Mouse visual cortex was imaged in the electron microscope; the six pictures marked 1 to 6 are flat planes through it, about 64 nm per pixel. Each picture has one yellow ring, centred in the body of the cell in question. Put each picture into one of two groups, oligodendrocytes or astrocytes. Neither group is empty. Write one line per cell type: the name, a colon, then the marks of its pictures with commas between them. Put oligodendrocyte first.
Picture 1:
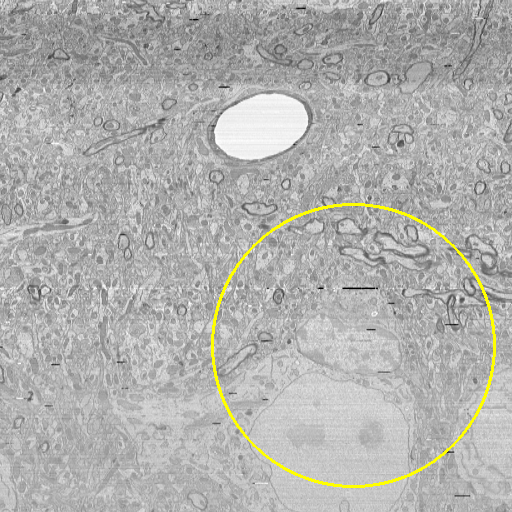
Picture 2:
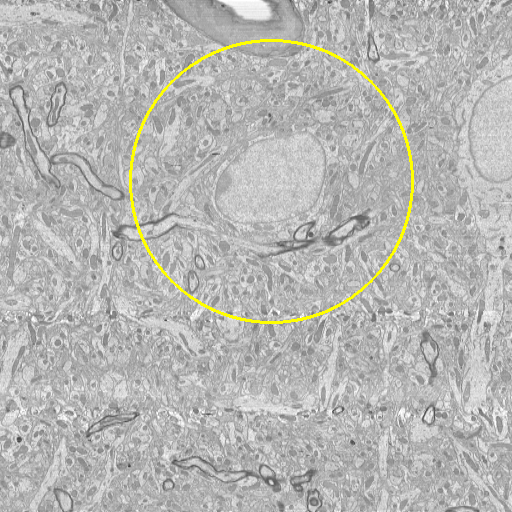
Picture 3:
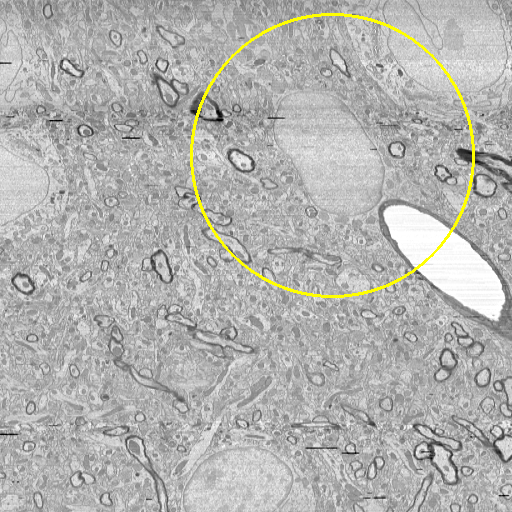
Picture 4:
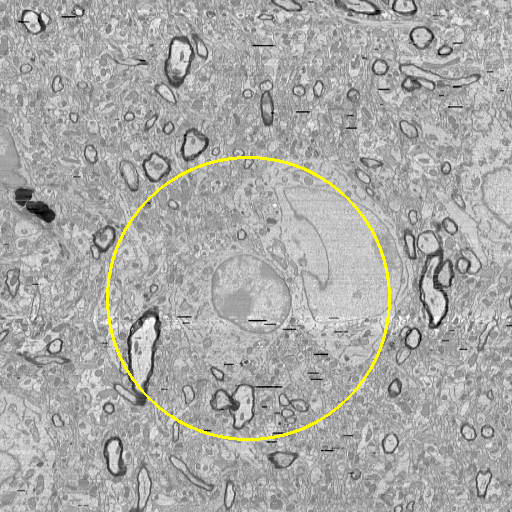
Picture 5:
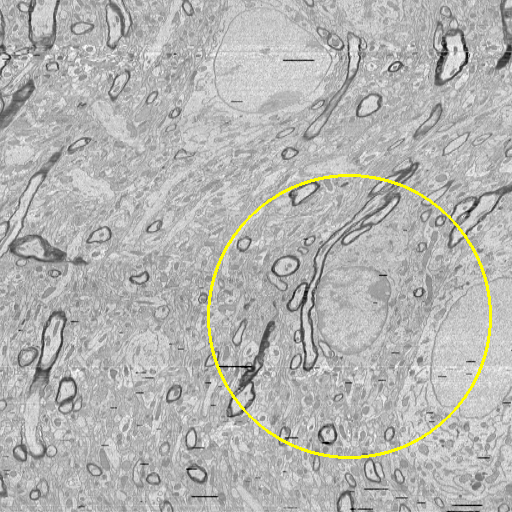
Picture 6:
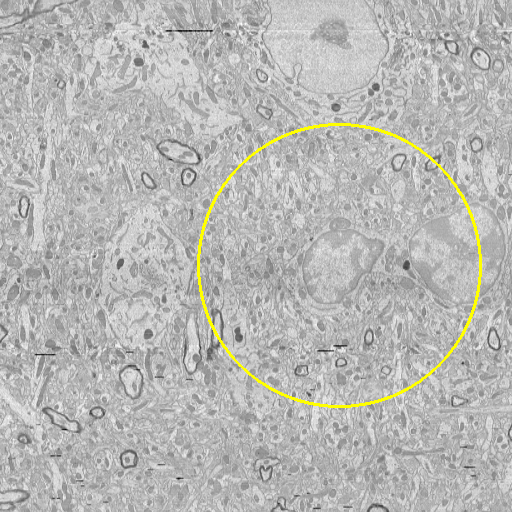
oligodendrocyte: 1, 4, 5, 6
astrocyte: 2, 3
